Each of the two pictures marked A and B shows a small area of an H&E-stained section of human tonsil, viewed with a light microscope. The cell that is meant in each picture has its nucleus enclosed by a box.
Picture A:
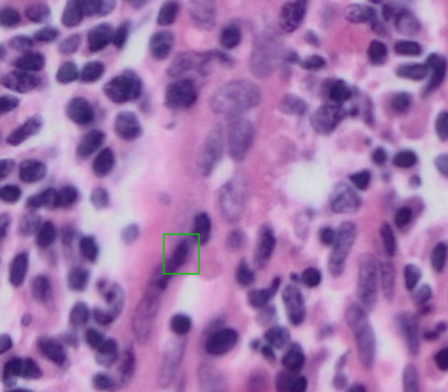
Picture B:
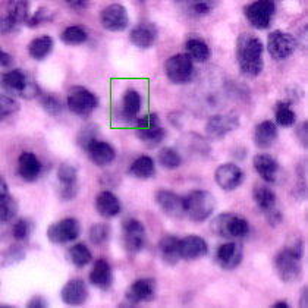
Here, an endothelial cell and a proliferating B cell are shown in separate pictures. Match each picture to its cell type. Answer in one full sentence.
The cell in picture A is an endothelial cell, and the one in picture B is a proliferating B cell.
